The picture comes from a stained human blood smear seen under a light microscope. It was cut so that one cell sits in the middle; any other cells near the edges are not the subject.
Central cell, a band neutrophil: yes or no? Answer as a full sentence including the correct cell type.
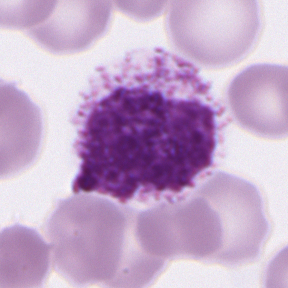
Yes, placed in the middle of the crop is a band neutrophil.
